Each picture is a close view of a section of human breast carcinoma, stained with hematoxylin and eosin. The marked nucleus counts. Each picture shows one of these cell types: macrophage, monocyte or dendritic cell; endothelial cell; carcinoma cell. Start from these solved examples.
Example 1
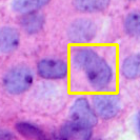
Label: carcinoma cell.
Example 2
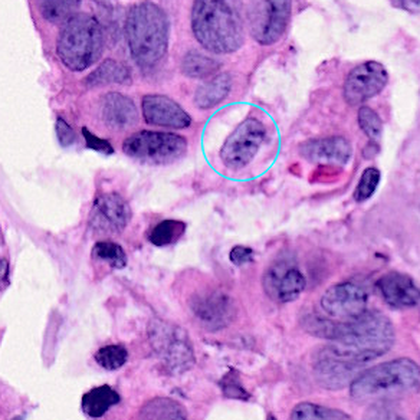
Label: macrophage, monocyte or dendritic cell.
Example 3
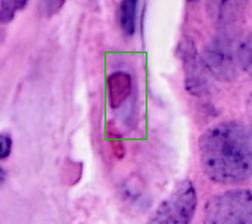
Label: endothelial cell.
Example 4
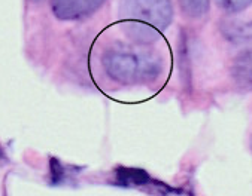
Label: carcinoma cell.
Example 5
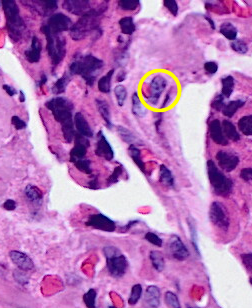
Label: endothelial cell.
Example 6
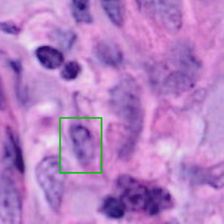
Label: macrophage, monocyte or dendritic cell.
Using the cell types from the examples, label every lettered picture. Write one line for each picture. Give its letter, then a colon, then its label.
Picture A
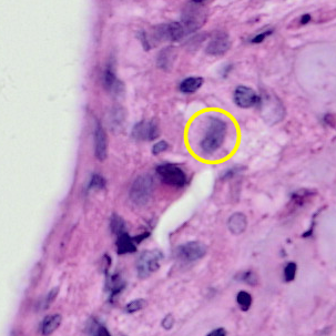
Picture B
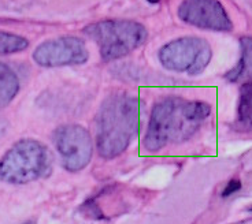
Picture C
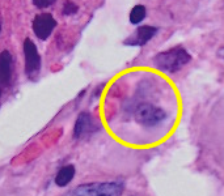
A: macrophage, monocyte or dendritic cell.
B: carcinoma cell.
C: endothelial cell.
